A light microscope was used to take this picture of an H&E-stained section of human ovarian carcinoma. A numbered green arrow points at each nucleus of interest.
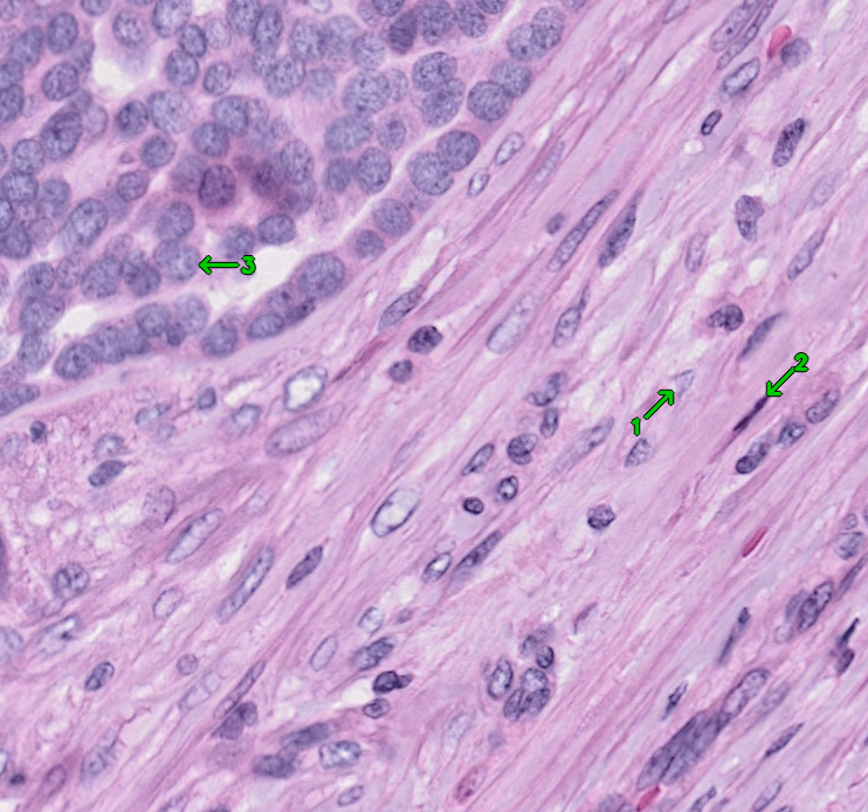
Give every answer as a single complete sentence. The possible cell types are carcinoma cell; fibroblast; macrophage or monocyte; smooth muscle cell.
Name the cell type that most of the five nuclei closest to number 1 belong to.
Macrophages or monocytes make up most of the five nuclei closest to number 1.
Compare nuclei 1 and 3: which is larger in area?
Nucleus 3 is larger, with an area about 3 times that of nucleus 1.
